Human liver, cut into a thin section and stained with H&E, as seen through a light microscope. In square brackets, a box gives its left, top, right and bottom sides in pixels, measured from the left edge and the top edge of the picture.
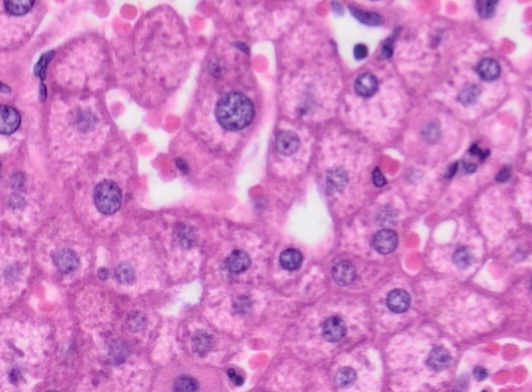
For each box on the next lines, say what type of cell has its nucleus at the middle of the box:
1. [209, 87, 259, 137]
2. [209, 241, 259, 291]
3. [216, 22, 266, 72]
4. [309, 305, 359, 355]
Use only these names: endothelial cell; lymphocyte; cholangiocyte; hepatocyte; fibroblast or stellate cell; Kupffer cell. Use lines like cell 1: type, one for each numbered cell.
cell 1: hepatocyte
cell 2: hepatocyte
cell 3: fibroblast or stellate cell
cell 4: hepatocyte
